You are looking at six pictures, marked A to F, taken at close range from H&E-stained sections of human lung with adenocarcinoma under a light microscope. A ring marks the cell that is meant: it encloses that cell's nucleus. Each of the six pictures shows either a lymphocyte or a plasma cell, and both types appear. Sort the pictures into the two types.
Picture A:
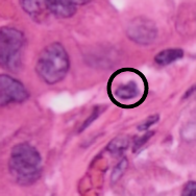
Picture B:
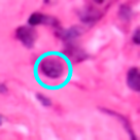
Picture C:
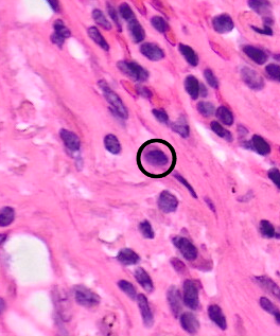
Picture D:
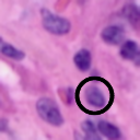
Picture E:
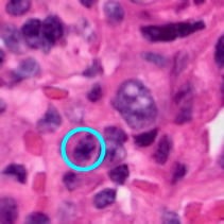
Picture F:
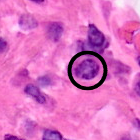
A: lymphocyte
B: plasma cell
C: plasma cell
D: lymphocyte
E: plasma cell
F: plasma cell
